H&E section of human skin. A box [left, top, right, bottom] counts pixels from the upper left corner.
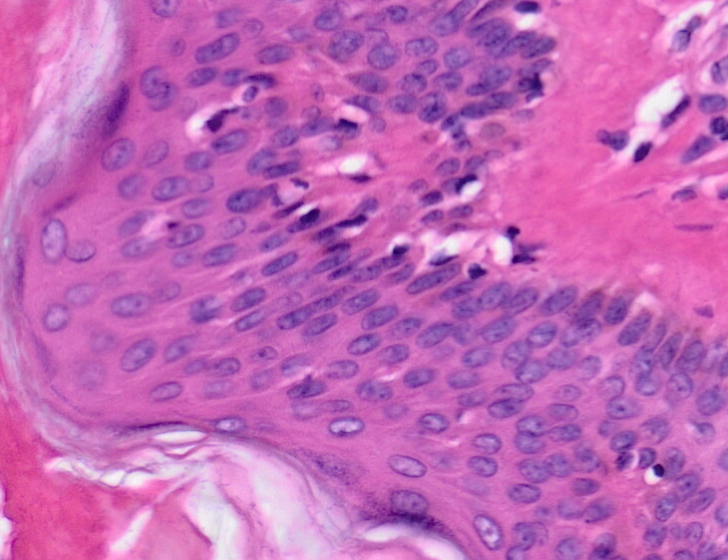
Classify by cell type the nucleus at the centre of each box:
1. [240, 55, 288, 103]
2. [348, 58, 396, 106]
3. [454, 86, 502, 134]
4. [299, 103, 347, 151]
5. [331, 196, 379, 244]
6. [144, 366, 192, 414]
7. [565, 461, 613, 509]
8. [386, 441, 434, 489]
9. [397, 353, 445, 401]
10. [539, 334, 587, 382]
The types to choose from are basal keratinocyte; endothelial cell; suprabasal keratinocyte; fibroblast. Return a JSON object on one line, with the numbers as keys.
{"1": "basal keratinocyte", "2": "basal keratinocyte", "3": "basal keratinocyte", "4": "basal keratinocyte", "5": "basal keratinocyte", "6": "suprabasal keratinocyte", "7": "basal keratinocyte", "8": "suprabasal keratinocyte", "9": "suprabasal keratinocyte", "10": "suprabasal keratinocyte"}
